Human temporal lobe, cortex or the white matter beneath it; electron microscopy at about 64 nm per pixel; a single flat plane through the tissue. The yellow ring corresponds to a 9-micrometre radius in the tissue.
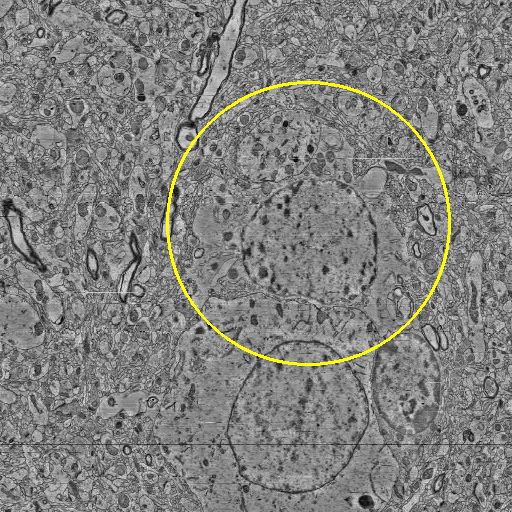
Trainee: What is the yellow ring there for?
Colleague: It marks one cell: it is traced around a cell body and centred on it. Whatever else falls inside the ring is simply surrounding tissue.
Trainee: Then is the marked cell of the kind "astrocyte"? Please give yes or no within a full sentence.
Yes, the marked cell at the centre of the yellow ring is of the kind asked about.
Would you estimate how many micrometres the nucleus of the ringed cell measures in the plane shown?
Roughly 9 micrometers across, in this plane.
